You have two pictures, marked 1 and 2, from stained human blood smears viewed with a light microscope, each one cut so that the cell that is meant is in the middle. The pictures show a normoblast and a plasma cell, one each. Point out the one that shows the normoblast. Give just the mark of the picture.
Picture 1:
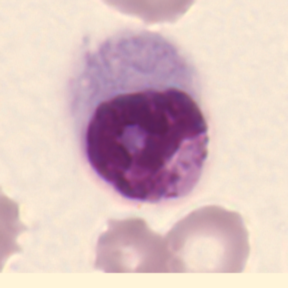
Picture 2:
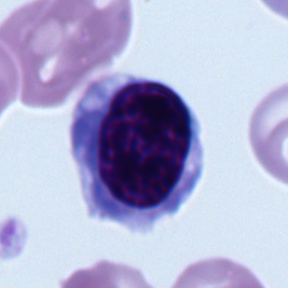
2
